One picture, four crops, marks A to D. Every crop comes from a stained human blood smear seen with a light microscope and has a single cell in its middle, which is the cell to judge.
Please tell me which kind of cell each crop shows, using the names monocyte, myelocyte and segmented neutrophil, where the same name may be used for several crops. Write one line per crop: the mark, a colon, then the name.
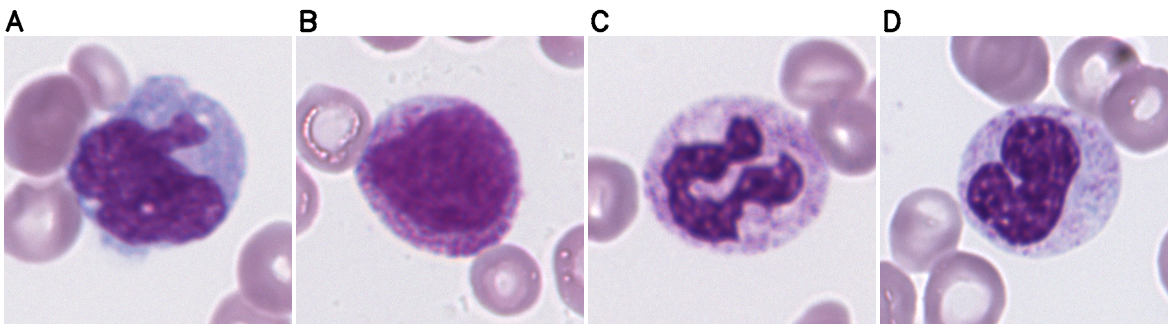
A: monocyte
B: myelocyte
C: segmented neutrophil
D: segmented neutrophil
